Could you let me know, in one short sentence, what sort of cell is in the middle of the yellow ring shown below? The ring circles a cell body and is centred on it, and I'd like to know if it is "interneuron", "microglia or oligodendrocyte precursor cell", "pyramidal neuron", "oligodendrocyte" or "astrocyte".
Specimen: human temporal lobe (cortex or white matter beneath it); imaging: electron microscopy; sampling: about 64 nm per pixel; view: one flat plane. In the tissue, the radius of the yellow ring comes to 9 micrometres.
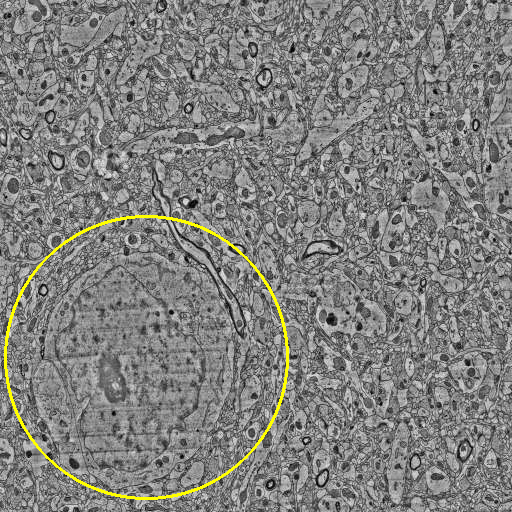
The ring circles the cell body of an interneuron.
